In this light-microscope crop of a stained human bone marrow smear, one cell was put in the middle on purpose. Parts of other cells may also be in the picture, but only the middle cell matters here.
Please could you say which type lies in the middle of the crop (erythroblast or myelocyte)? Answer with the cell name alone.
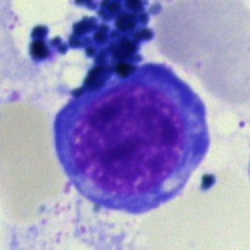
erythroblast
